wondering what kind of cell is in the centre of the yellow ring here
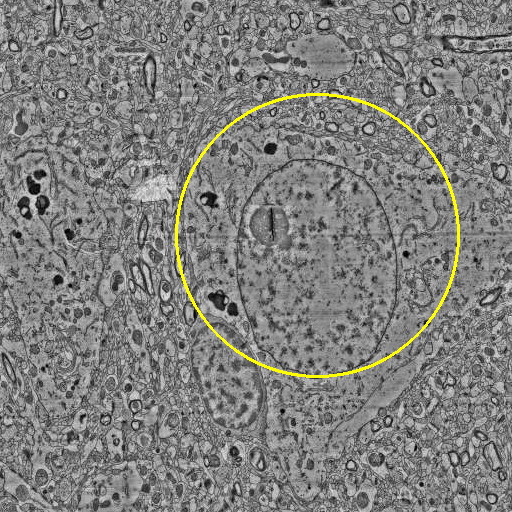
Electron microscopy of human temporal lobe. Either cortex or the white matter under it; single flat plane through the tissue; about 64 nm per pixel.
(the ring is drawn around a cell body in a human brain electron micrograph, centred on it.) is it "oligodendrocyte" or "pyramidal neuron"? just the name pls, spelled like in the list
pyramidal neuron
